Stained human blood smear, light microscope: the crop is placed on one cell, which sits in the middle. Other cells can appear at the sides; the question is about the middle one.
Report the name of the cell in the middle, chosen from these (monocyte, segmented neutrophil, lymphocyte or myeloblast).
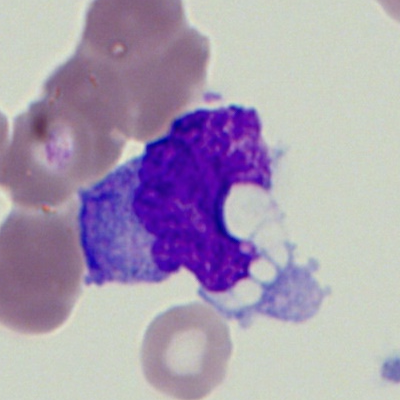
monocyte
